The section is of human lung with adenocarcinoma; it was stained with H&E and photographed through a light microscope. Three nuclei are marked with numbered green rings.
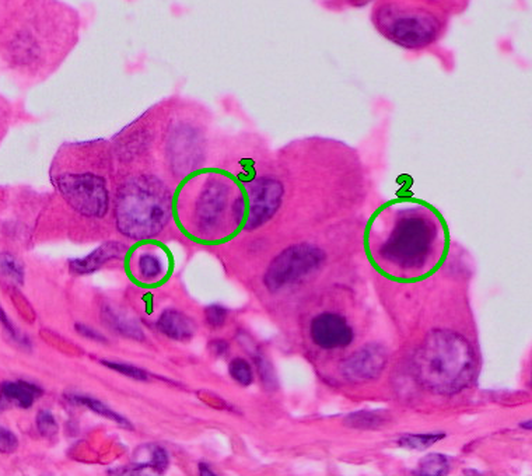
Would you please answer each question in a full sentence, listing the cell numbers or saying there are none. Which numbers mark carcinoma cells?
The numbers 2 and 3 mark cells that are carcinoma cells.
